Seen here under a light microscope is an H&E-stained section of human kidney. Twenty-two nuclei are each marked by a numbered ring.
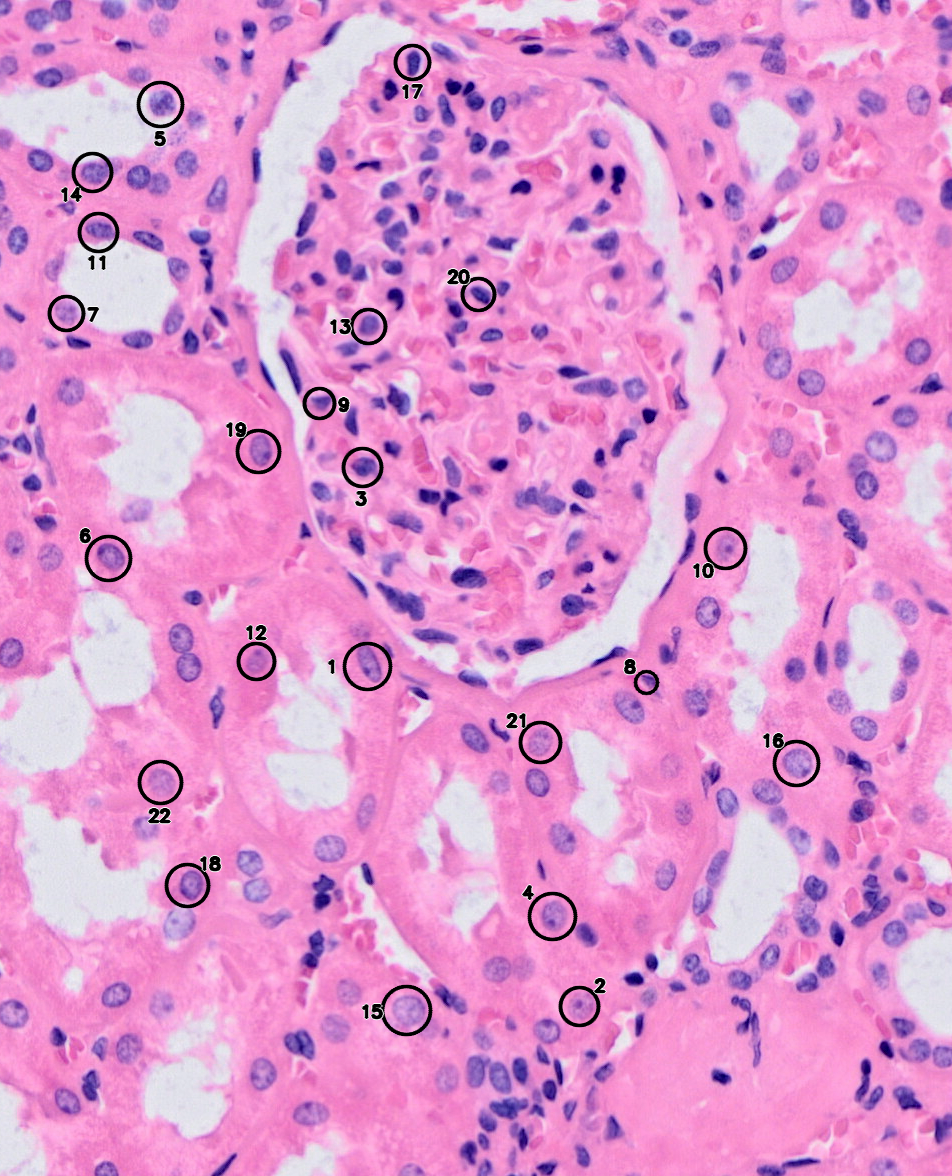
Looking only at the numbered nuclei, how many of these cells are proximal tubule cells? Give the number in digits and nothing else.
12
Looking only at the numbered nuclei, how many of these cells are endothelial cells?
6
